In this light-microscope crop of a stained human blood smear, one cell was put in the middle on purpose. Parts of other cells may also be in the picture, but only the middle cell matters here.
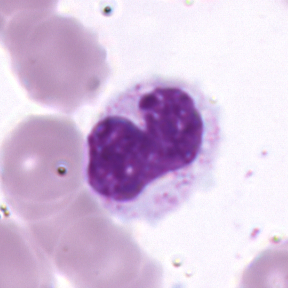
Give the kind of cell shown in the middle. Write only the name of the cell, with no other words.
band neutrophil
